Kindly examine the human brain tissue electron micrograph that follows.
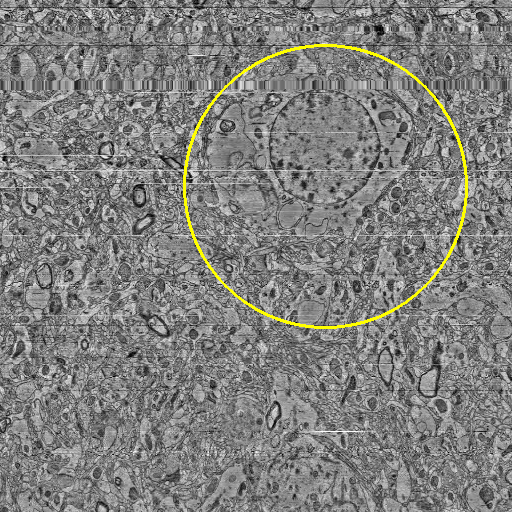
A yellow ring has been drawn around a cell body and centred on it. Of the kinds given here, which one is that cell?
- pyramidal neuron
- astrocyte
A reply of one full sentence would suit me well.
The micrograph's ringed cell, the one at the ring's centre, is an astrocyte.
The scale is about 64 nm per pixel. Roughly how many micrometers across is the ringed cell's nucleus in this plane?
Roughly 7 micrometers across, in this plane.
